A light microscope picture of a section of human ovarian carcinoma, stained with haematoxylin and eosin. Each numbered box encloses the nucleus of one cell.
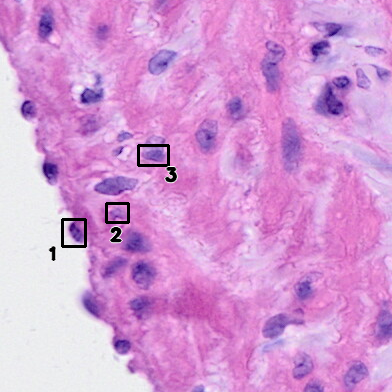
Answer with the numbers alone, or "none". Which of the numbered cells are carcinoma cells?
none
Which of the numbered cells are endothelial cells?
1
